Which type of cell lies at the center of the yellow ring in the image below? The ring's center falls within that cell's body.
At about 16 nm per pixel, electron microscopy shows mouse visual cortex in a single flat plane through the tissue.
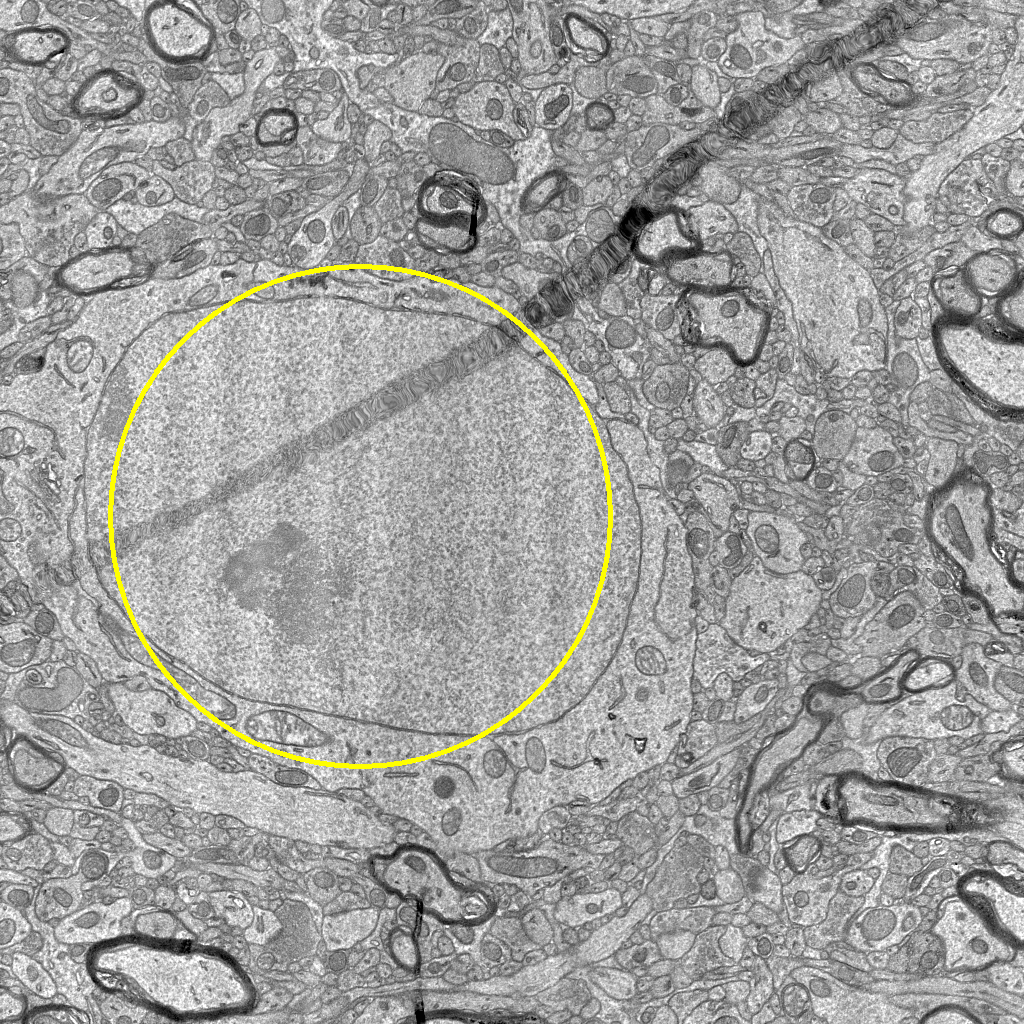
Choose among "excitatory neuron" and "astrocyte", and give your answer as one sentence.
The cell body at the center belongs to an excitatory neuron.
